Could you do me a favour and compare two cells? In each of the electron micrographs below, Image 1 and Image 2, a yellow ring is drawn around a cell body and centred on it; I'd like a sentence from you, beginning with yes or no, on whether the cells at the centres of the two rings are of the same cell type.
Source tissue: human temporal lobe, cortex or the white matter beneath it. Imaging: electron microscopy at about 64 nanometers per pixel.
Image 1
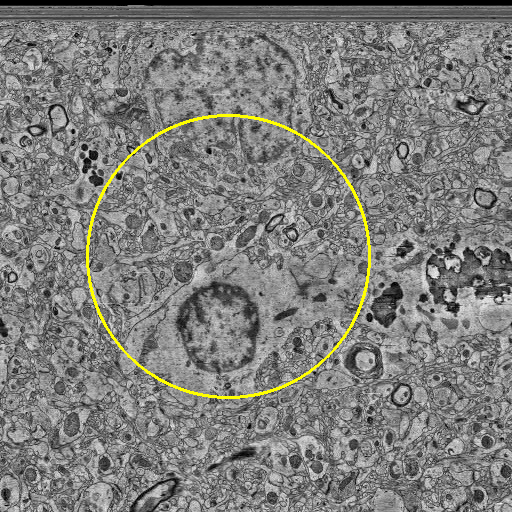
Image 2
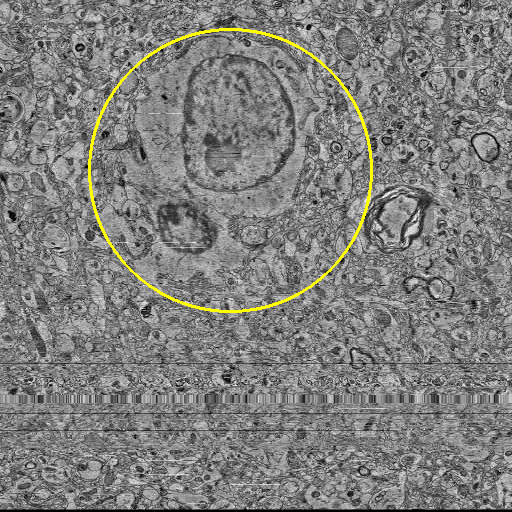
Yes, the two cells are of the same cell type.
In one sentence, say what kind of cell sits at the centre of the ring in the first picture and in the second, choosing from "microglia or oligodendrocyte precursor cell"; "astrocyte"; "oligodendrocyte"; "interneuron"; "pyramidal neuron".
Both pictures show an astrocyte at the centre of the ring.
